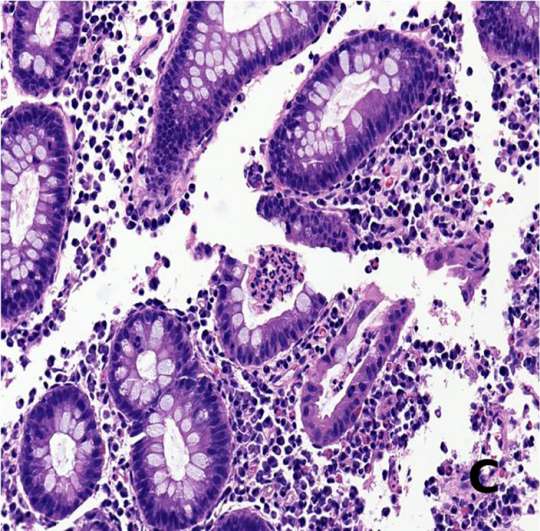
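This section of colonic mucosa shows crypts lined by columnar epithelium rich in goblet cells, set in a lamina propria heavily infiltrated by inflammatory cells. The crypts vary in shape and spacing, some cut obliquely or irregularly, in keeping with mild distortion of the crypt architecture. The lamina propria between them is packed with small round dark-staining inflammatory cells. In the centre, one small crypt contains a cluster of inflammatory cells within its lumen, forming a crypt abscess.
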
